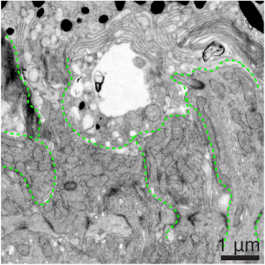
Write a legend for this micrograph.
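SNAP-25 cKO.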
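This electron micrograph shows photoreceptor inner segments, outlined by green dashed lines, that look abnormal. Near the top a large clear empty vacuole opens within the outlined region, surrounded by numerous small clear vesicles. Stacked membranes lie above it, and the tissue around looks less orderly than in a normal inner segment row.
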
